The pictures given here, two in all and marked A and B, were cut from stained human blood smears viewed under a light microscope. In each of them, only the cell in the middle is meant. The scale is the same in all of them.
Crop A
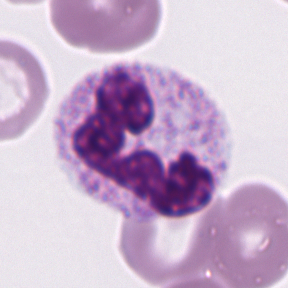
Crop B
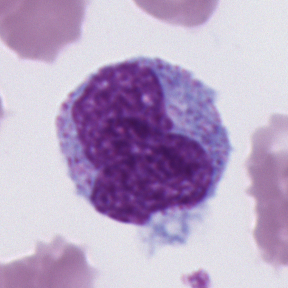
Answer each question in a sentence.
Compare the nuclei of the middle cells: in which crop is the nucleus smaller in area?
It is the nucleus in crop A; the one in crop B has about 1.5 times its area.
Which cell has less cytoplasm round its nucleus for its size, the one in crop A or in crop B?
The nucleus fills more of the cell in crop B than in crop A.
